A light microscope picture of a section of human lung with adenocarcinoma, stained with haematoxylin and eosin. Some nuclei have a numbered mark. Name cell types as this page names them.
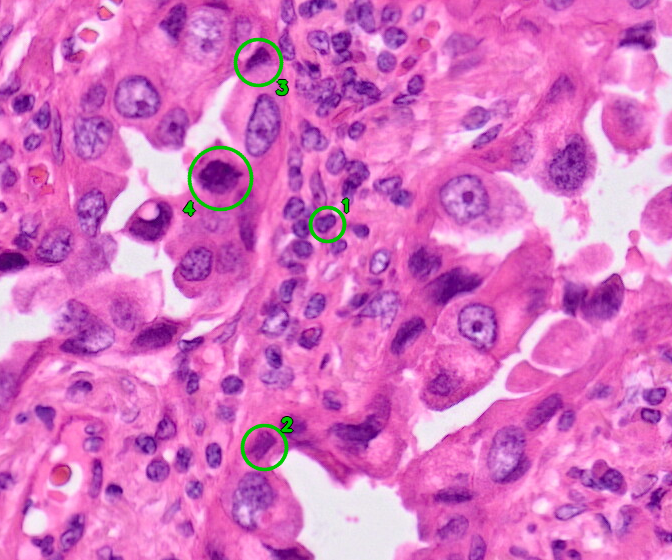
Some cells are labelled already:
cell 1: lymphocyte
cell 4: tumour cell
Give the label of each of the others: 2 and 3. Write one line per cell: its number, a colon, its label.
2: tumour cell
3: tumour cell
